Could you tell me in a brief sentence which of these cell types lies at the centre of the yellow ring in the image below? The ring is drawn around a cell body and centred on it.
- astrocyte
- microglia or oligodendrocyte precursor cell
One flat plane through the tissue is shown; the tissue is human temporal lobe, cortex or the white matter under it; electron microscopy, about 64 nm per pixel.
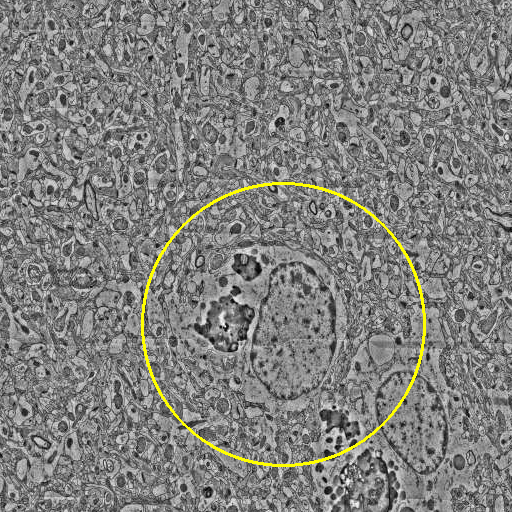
The cell centred in the ring is an astrocyte.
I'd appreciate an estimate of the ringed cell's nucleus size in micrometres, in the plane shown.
Approximately 9 micrometres long and 5 micrometres wide, so clearly longer than it is wide in this plane.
